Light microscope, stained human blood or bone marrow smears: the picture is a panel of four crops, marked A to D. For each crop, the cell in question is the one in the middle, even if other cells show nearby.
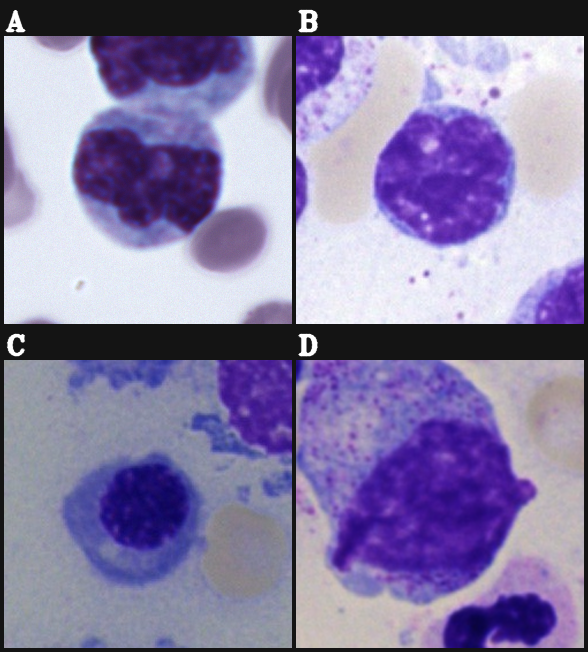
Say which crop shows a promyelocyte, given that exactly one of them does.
D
